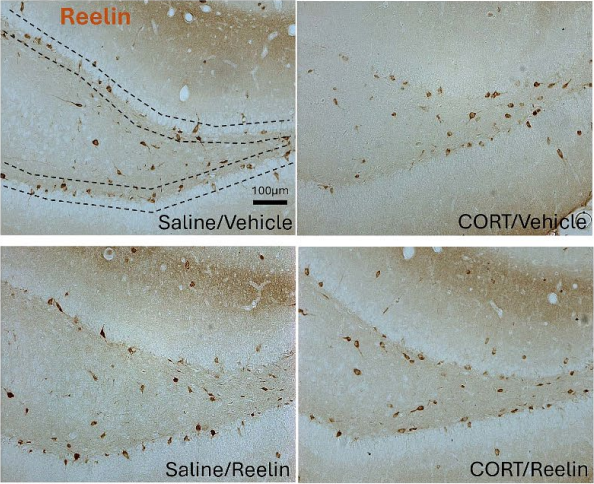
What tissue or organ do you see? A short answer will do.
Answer: Dentate gyrus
